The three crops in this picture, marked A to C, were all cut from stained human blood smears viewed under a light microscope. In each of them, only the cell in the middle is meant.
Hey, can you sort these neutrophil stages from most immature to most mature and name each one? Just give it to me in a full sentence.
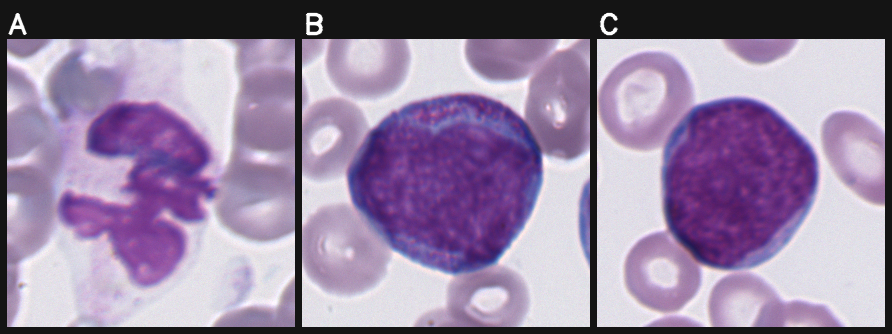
The progression from least to most mature runs crop C (a myeloblast), crop B (a promyelocyte) and crop A (a segmented neutrophil).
